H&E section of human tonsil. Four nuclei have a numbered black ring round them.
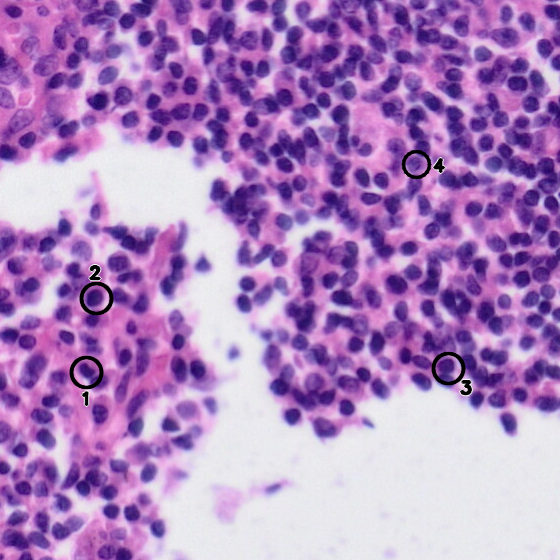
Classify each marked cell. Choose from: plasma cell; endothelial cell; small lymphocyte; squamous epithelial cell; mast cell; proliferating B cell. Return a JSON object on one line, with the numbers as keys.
{"1": "plasma cell", "2": "plasma cell", "3": "small lymphocyte", "4": "small lymphocyte"}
